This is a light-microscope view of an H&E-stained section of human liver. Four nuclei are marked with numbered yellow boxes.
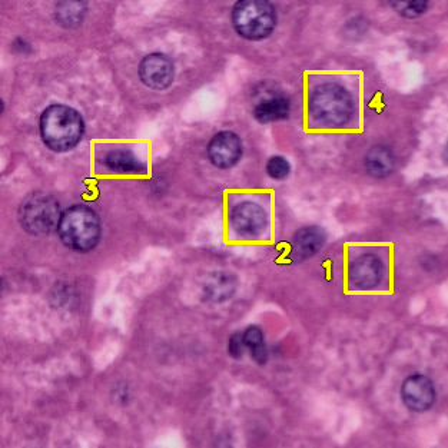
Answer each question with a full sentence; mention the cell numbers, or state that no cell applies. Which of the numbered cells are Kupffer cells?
As regards the numbered cells, Kupffer cells are not represented.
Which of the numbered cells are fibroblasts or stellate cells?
Exactly one numbered cell is a fibroblast or stellate cell, and that cell is number 3.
